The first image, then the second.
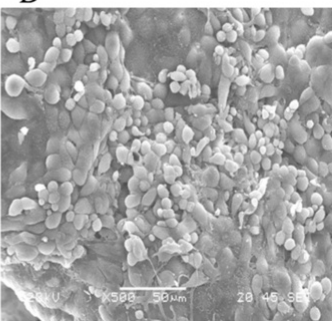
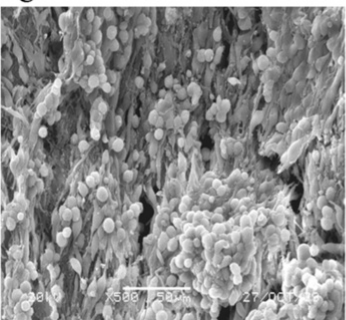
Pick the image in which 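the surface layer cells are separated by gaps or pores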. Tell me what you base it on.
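First image: rounded cells sit on a largely closed surface without dark openings between them. Second image: rounded cells and elongated cells are interrupted by dark clefts and openings. The answer: the second image.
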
